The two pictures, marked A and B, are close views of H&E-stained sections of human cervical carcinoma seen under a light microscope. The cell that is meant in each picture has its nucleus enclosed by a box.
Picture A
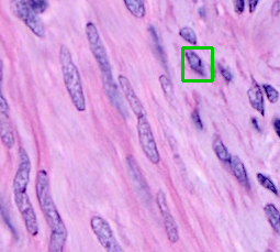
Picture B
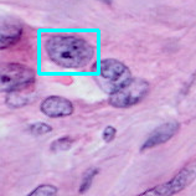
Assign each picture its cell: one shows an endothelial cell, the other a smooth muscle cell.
A: smooth muscle cell
B: endothelial cell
